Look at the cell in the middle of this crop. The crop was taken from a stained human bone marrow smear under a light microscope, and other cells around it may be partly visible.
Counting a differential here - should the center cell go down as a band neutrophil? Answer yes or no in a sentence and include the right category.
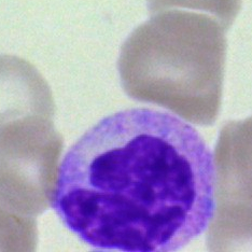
No, the cell in the middle is a segmented neutrophil, not a band neutrophil.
